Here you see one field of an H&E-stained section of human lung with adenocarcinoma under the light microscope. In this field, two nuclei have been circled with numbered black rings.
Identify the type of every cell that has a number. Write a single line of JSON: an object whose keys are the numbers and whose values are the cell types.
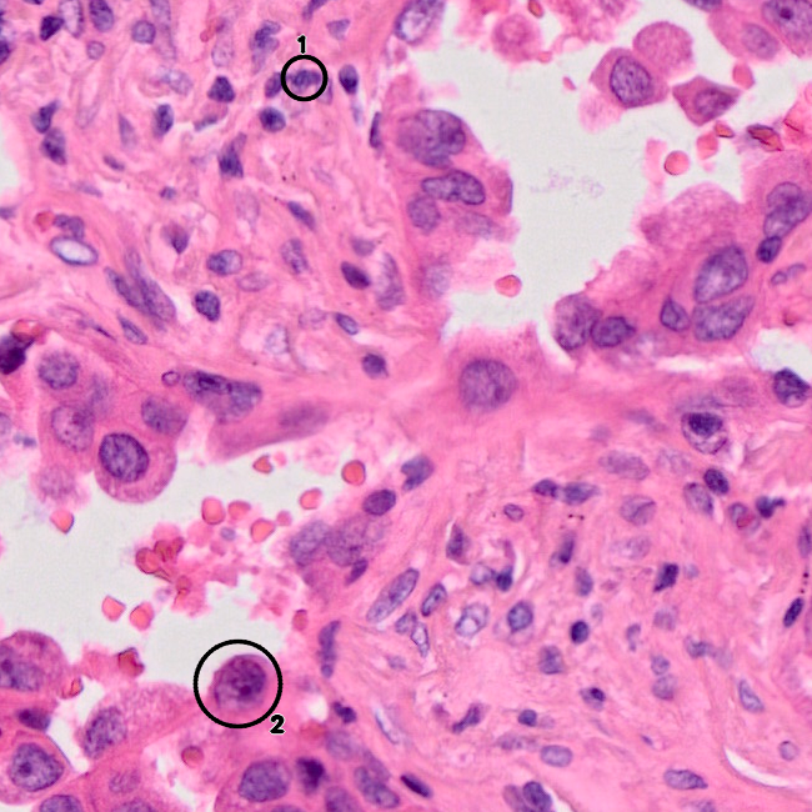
{"1": "lymphocyte", "2": "carcinoma cell"}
